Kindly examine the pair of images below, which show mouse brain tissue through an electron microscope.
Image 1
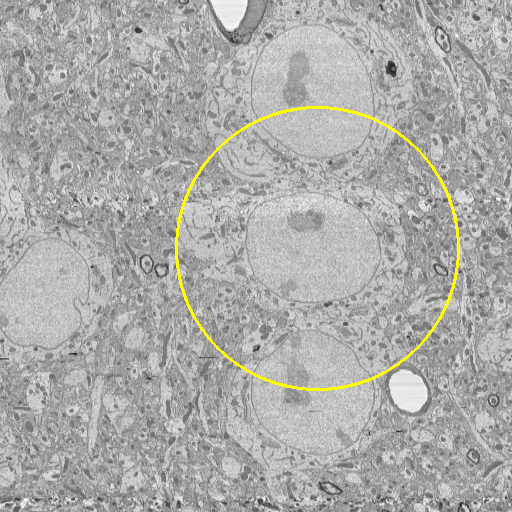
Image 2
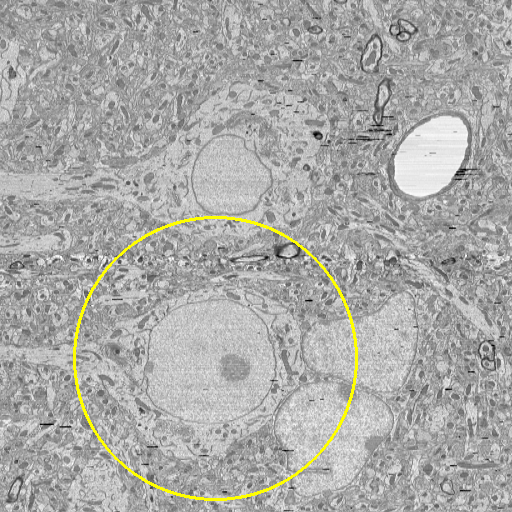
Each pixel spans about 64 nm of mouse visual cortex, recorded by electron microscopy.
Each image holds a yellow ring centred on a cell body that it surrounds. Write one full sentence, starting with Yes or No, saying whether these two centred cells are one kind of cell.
Yes, both cells at the centres of the yellow rings belong to one kind of cell.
